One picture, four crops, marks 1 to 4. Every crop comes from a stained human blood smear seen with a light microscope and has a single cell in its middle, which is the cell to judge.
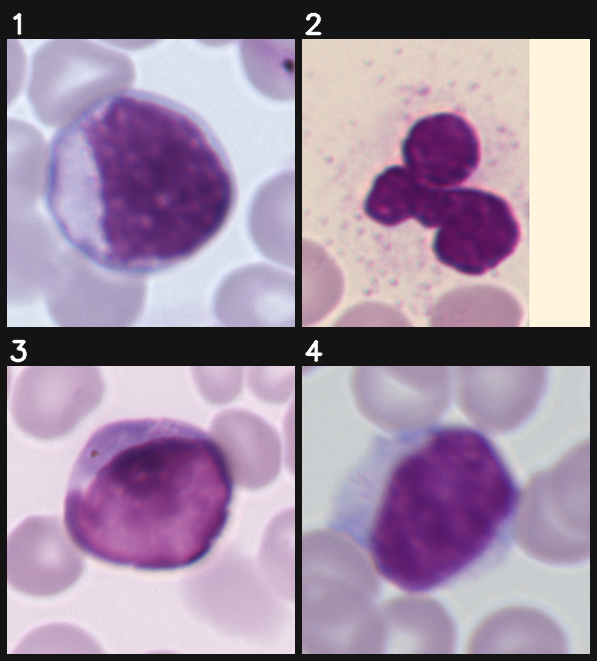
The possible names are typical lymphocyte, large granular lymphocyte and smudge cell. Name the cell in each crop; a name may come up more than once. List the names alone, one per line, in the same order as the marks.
large granular lymphocyte
smudge cell
large granular lymphocyte
typical lymphocyte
